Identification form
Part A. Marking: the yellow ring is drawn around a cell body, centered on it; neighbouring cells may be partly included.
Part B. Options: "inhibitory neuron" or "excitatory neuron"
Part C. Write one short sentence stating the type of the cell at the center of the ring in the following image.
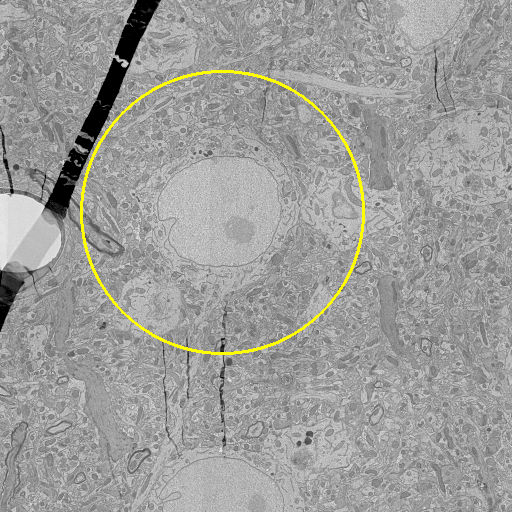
The center of the ring holds an excitatory neuron.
